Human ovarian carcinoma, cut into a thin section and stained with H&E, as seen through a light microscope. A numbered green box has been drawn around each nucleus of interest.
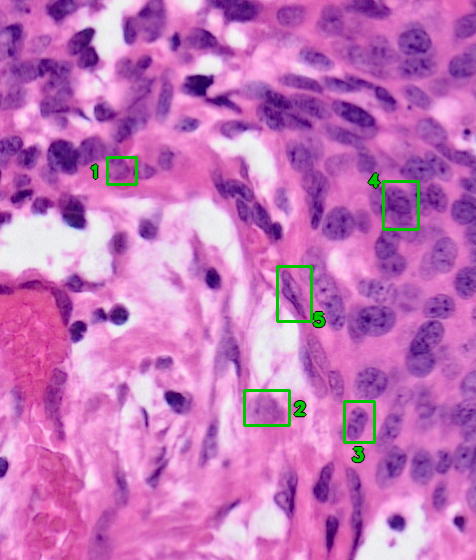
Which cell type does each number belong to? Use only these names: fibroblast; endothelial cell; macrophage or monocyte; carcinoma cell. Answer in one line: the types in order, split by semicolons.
endothelial cell; fibroblast; macrophage or monocyte; carcinoma cell; endothelial cell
